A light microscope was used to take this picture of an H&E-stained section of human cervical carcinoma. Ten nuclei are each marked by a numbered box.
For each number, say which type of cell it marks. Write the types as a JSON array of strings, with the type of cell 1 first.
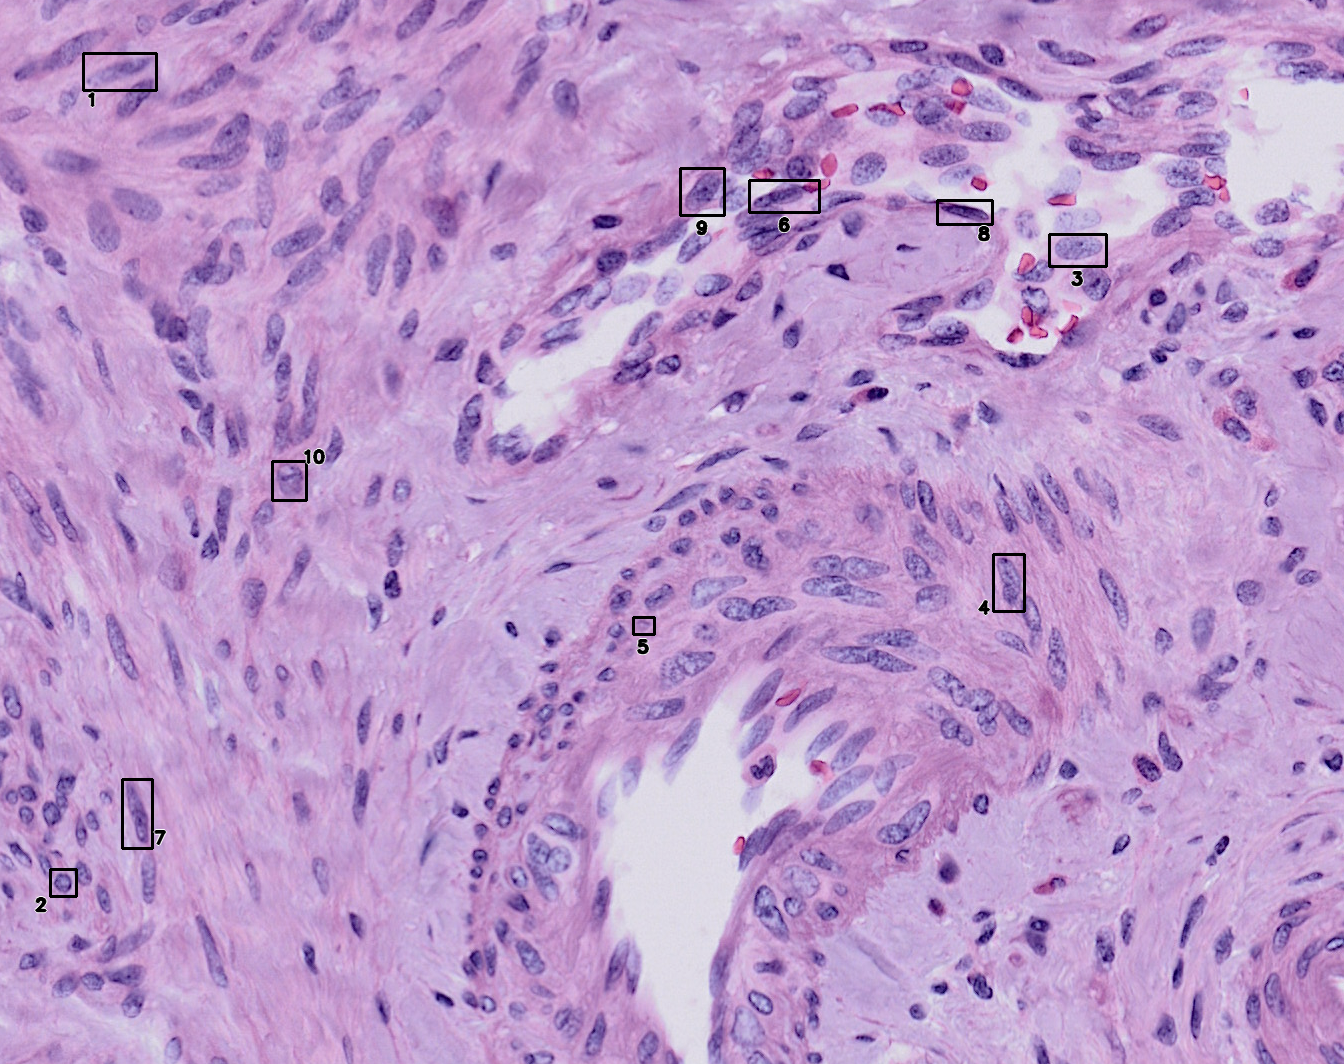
["smooth muscle cell", "smooth muscle cell", "endothelial cell", "smooth muscle cell", "smooth muscle cell", "endothelial cell", "smooth muscle cell", "endothelial cell", "endothelial cell", "smooth muscle cell"]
